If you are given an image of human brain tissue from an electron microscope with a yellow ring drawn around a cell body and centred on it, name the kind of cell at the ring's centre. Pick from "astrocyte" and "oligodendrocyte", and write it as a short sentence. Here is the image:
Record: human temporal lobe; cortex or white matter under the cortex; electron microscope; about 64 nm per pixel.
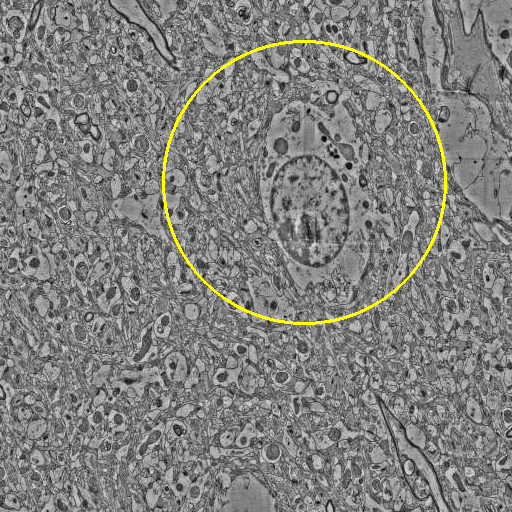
The cell at the ring's centre is an astrocyte.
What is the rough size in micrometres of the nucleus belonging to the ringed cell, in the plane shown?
Roughly 7 by 5 micrometres in this plane, for the nucleus of the ringed cell.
